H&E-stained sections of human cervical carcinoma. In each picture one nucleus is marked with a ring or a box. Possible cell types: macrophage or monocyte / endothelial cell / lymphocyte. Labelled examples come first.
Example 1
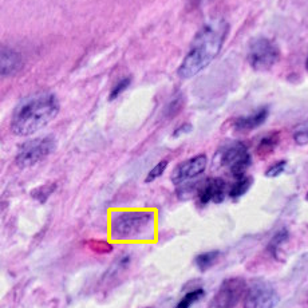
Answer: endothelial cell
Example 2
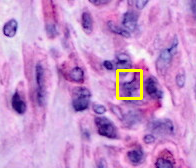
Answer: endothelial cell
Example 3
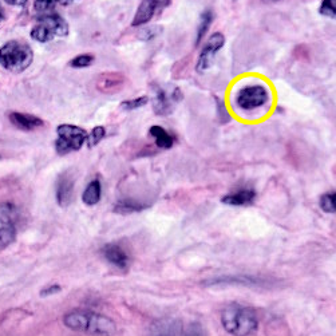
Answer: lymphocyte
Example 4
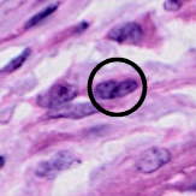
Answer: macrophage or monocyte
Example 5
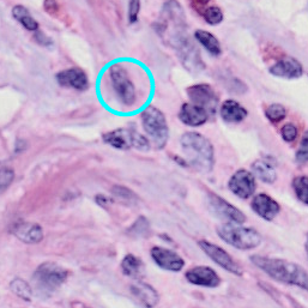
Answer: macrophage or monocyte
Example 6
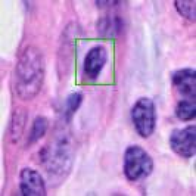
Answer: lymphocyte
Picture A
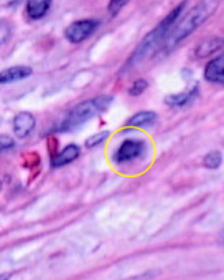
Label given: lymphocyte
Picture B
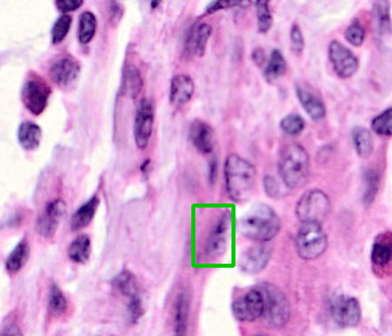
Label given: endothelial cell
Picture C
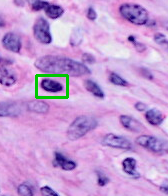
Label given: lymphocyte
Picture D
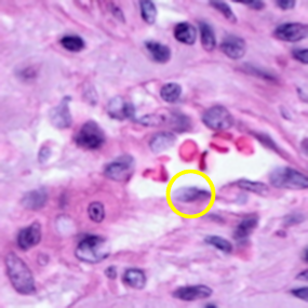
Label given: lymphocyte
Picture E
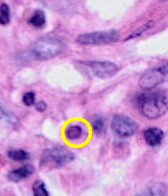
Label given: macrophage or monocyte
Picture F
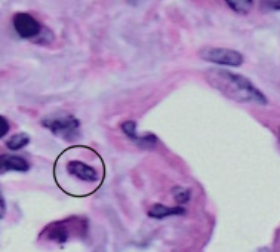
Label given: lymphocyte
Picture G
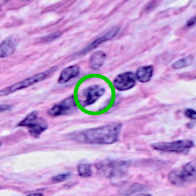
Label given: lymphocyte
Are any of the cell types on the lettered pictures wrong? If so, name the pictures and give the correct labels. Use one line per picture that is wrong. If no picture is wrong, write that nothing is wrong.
D should be endothelial cell, not lymphocyte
